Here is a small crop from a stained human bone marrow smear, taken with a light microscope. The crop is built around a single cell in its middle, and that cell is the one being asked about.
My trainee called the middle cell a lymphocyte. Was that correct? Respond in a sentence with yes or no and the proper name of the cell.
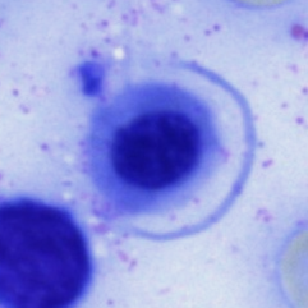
No, this is not a lymphocyte at all; the cell in the middle is an erythroblast.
